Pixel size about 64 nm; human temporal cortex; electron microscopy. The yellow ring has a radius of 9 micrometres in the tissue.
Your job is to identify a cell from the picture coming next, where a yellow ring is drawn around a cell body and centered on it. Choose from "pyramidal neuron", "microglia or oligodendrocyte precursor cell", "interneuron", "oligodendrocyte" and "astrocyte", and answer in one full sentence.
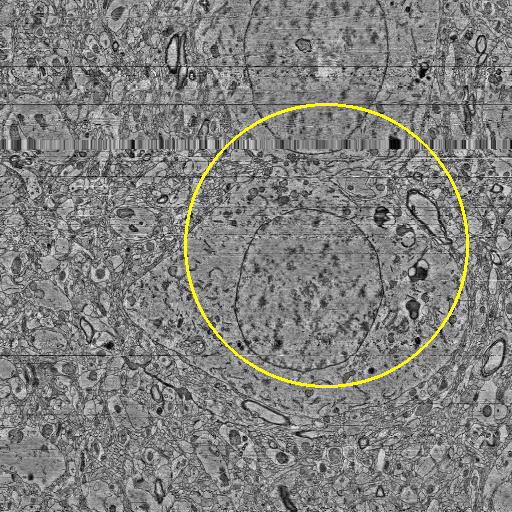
Centered in the yellow ring of the picture is the body of a pyramidal neuron.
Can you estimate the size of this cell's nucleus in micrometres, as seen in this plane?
In this plane the ringed cell's nucleus is roughly 10 micrometres across.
